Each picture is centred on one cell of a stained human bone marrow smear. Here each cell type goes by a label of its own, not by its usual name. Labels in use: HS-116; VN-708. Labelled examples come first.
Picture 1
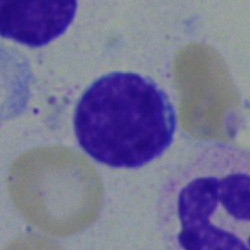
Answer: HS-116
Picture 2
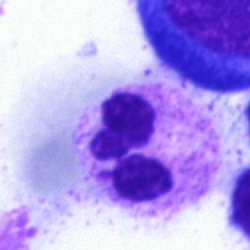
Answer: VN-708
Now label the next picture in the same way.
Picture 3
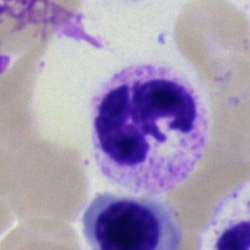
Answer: VN-708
